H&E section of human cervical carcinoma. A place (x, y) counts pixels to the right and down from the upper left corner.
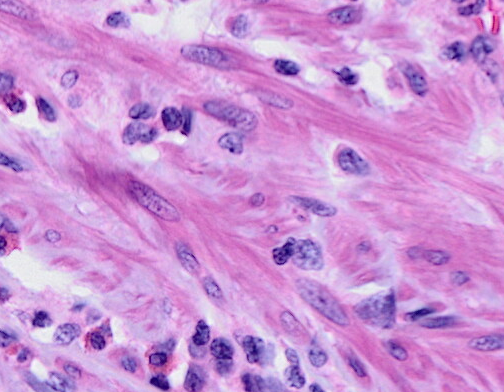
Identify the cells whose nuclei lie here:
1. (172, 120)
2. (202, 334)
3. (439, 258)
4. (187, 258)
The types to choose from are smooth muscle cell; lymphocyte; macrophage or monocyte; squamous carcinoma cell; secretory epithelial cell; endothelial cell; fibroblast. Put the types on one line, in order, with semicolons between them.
lymphocyte; lymphocyte; smooth muscle cell; smooth muscle cell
